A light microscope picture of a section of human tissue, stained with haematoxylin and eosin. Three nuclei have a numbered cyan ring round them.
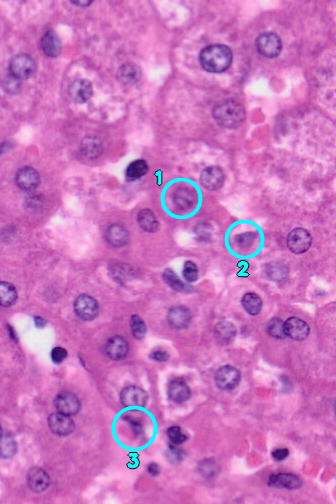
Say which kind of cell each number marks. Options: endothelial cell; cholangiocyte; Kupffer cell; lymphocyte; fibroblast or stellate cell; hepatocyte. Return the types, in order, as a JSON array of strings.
["hepatocyte", "endothelial cell", "fibroblast or stellate cell"]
